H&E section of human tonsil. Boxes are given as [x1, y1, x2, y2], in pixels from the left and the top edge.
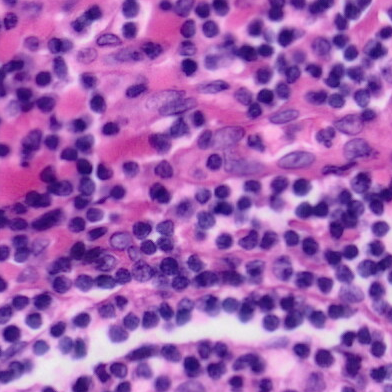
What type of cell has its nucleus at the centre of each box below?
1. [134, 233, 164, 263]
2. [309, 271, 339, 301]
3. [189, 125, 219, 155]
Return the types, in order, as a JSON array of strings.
["small lymphocyte", "small lymphocyte", "endothelial cell"]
